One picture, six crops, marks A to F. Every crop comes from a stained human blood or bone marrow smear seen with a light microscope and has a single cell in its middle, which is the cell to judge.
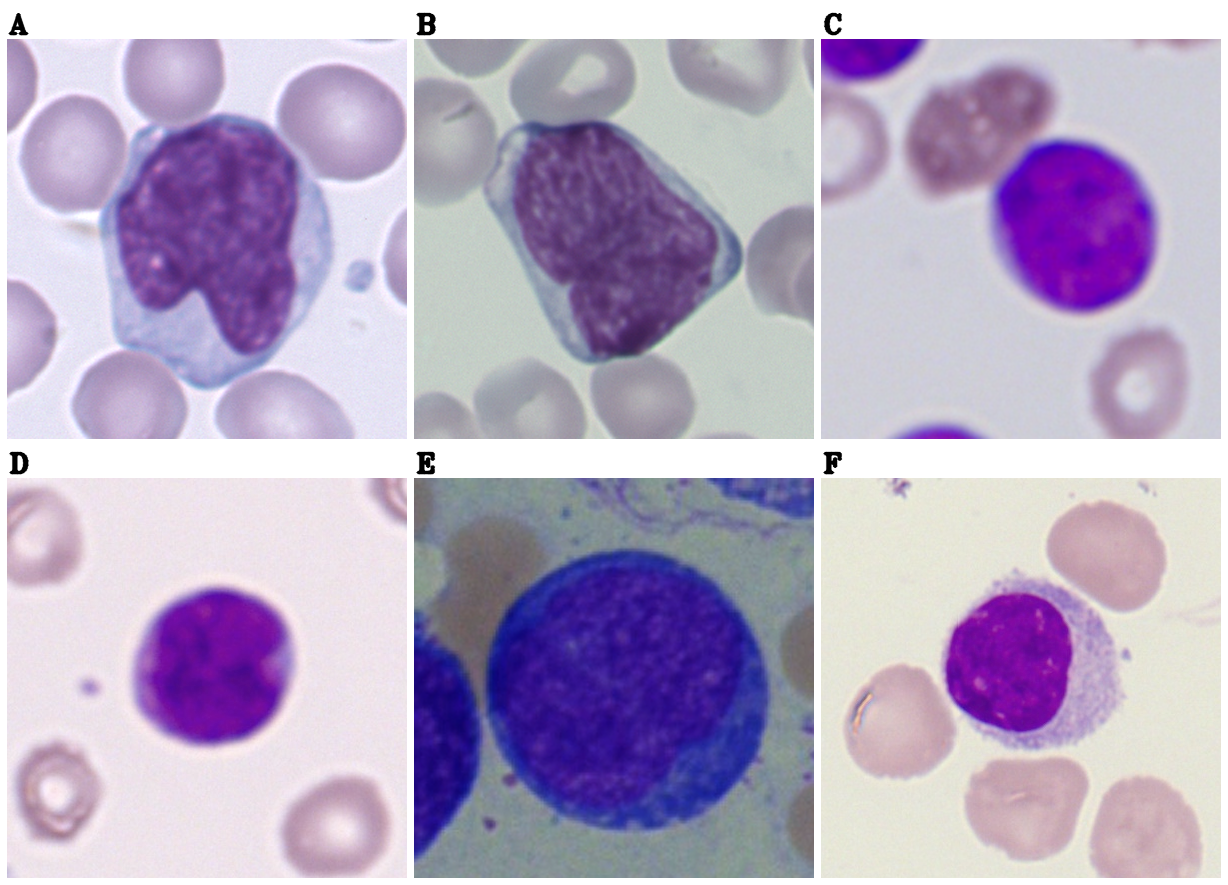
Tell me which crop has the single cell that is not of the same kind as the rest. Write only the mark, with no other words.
F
